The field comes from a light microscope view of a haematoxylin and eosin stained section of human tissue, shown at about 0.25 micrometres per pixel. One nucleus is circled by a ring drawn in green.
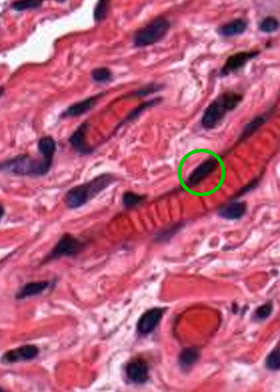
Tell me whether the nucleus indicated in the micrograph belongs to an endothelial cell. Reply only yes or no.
yes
